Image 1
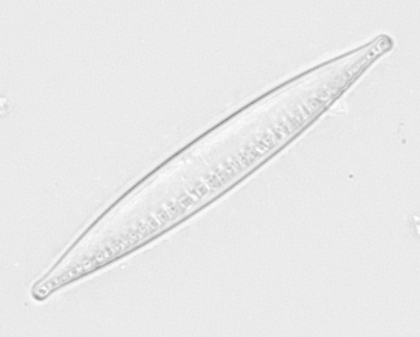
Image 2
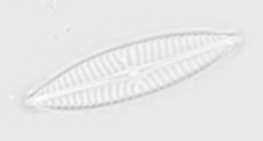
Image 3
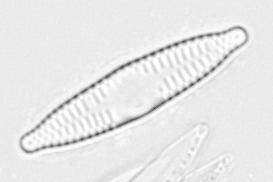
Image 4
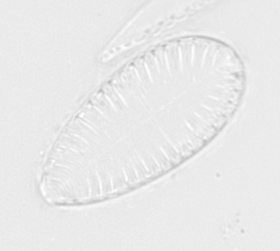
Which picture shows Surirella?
Picture 4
